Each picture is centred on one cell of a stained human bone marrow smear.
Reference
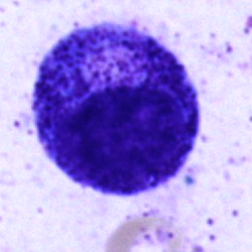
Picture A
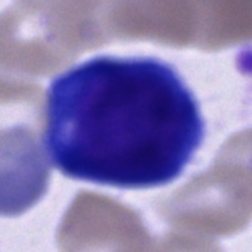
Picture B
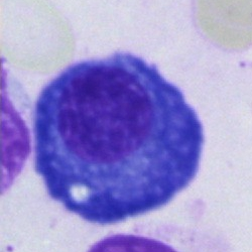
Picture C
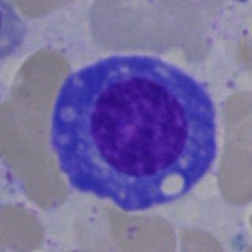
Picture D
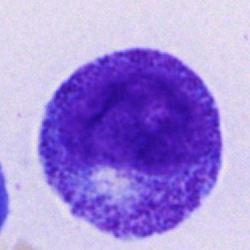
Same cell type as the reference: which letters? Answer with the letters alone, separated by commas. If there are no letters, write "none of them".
D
